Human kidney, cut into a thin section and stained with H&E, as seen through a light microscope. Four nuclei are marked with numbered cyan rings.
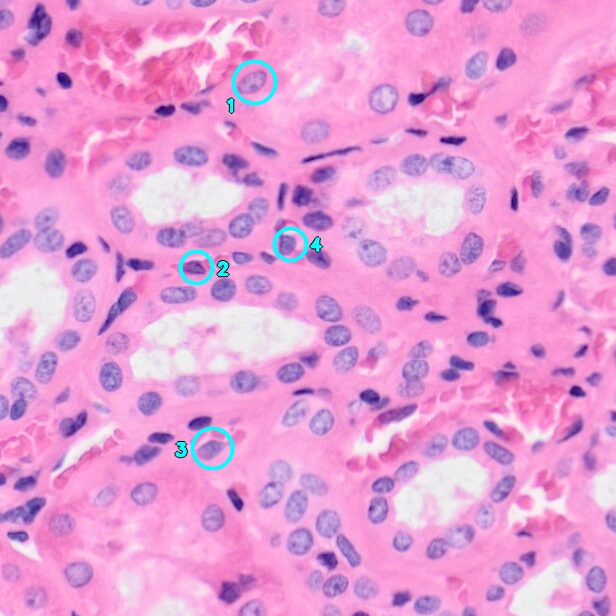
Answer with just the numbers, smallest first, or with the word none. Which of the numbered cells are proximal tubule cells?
1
